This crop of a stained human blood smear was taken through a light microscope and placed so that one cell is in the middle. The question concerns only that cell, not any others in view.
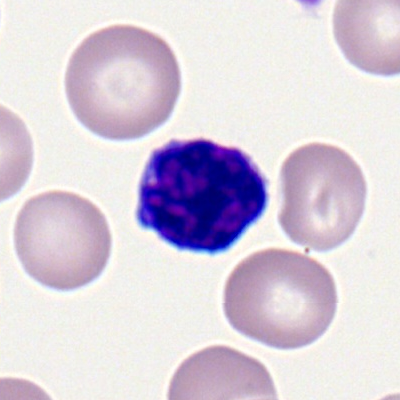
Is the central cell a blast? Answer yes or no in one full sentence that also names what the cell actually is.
No, the centrally placed cell is a lymphocyte, not a blast.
